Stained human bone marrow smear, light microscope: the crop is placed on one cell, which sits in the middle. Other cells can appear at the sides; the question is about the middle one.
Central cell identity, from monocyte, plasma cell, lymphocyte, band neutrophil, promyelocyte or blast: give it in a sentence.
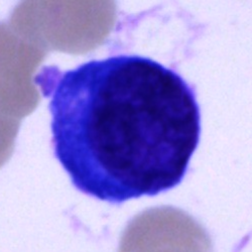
Located at the centre of the crop is a plasma cell.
